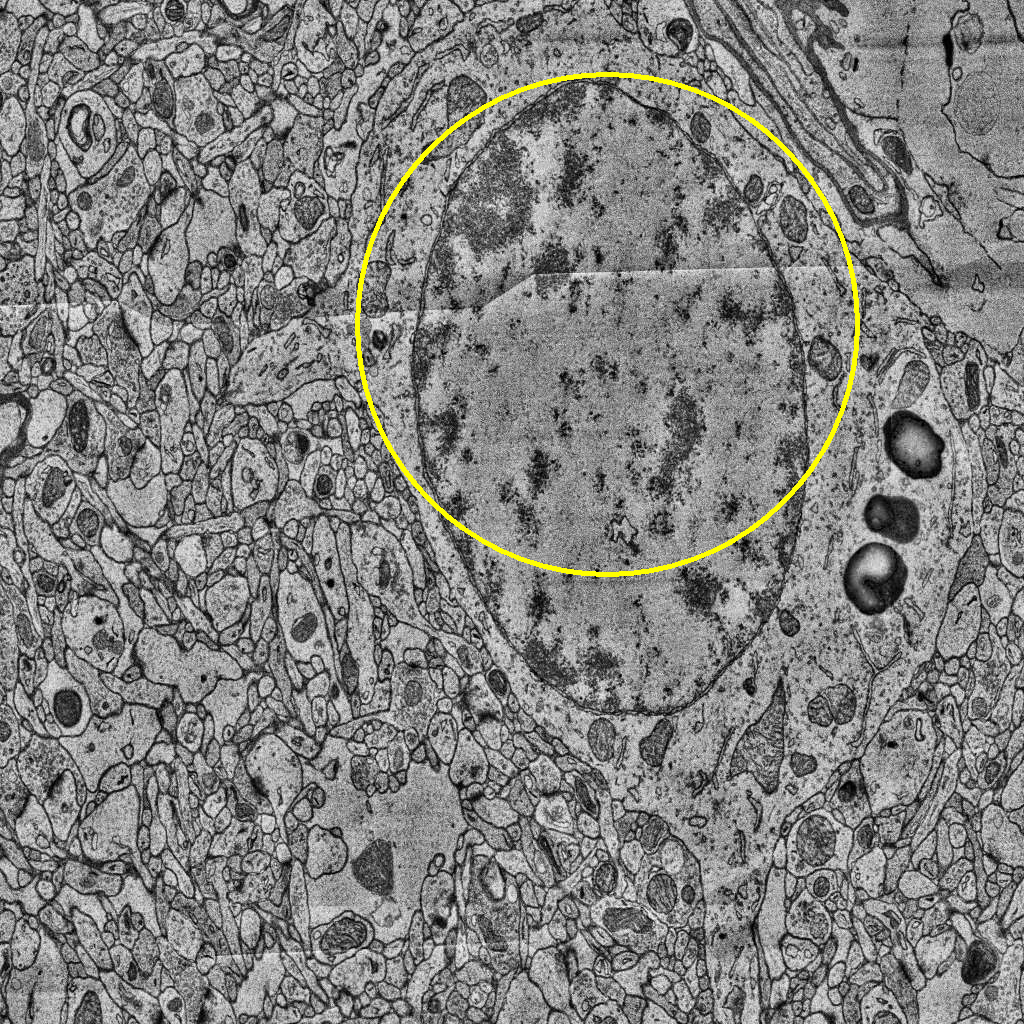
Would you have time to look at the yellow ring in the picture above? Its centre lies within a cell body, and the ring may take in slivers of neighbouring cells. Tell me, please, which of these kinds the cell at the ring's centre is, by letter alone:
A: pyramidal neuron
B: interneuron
A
